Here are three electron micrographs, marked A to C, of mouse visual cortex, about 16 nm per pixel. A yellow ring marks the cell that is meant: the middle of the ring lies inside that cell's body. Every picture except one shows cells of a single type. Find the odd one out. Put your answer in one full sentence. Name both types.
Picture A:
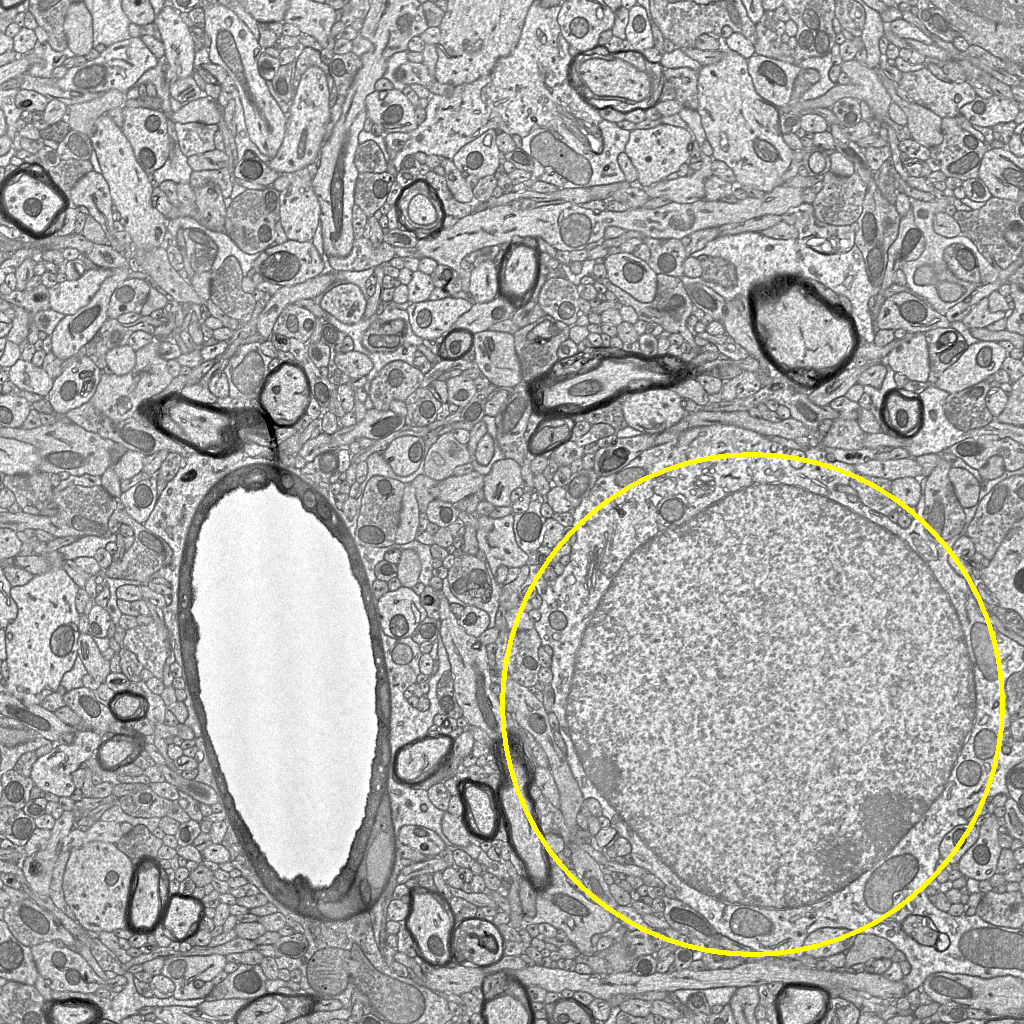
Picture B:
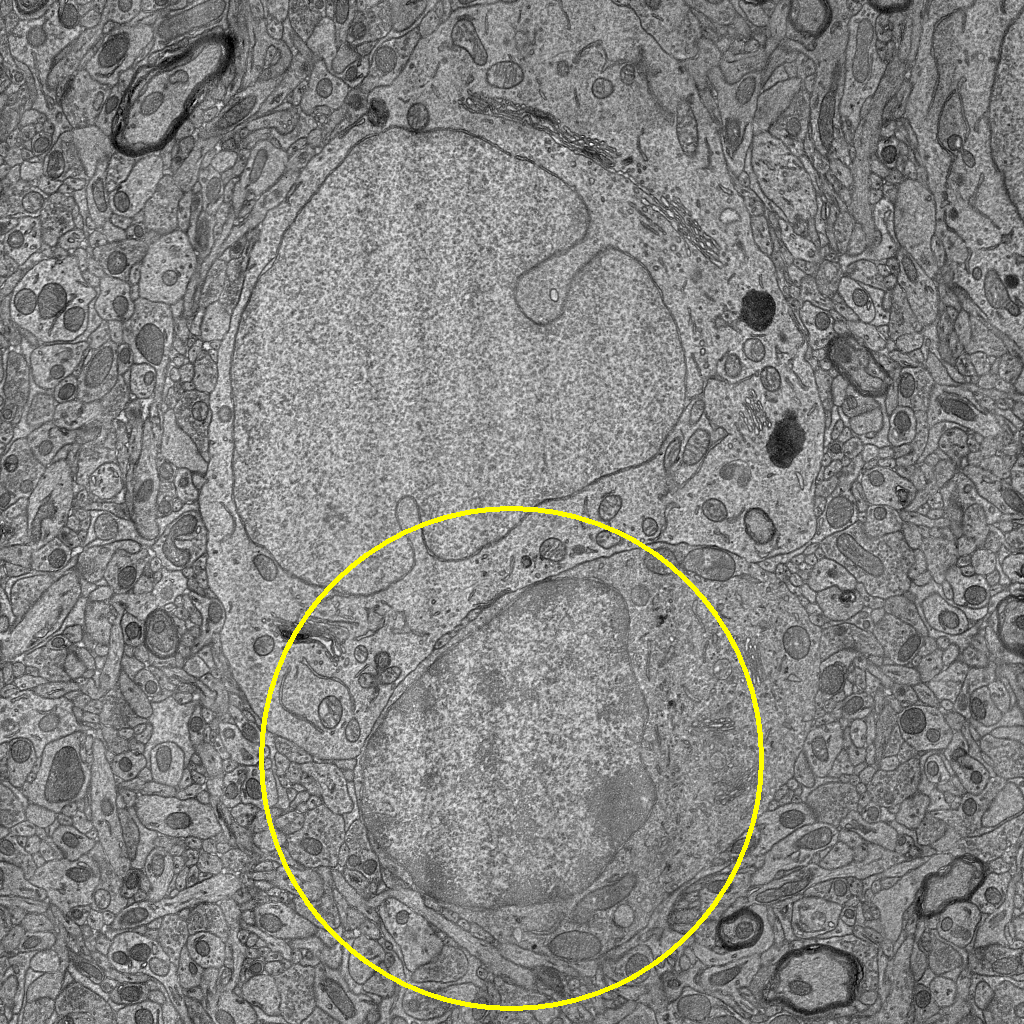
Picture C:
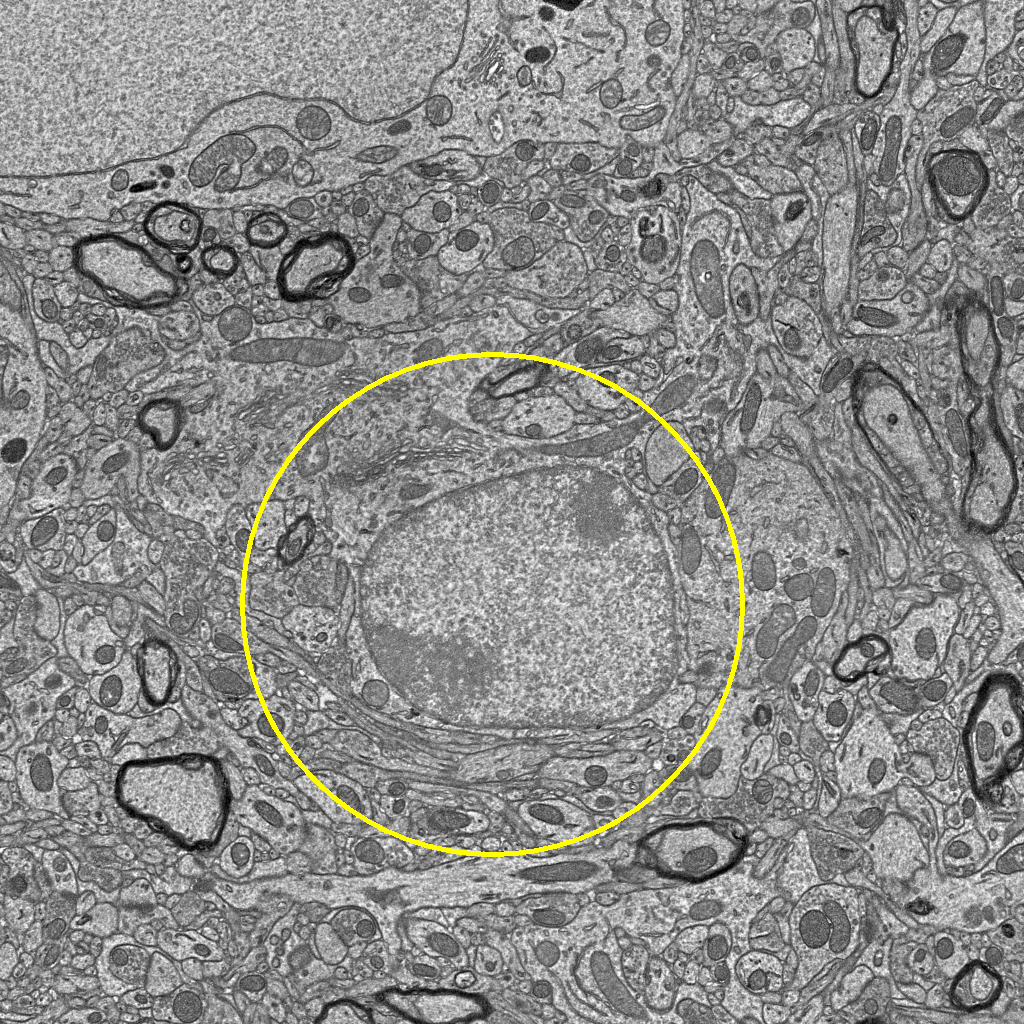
All pictures except B show astrocytes; picture B shows an oligodendrocyte.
